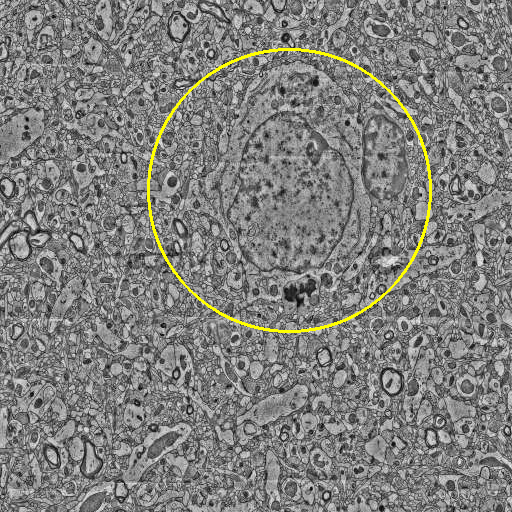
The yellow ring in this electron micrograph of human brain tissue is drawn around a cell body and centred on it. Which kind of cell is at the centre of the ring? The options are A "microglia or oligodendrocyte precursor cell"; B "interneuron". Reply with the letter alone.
B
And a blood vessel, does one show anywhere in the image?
No.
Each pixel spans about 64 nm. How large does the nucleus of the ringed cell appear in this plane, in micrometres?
Approximately 10 x 8 micrometres in this plane.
